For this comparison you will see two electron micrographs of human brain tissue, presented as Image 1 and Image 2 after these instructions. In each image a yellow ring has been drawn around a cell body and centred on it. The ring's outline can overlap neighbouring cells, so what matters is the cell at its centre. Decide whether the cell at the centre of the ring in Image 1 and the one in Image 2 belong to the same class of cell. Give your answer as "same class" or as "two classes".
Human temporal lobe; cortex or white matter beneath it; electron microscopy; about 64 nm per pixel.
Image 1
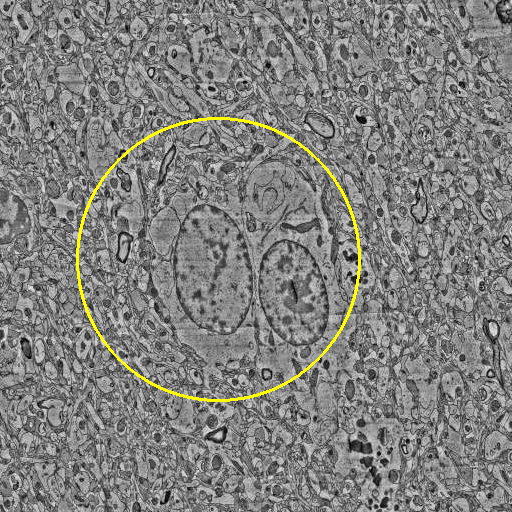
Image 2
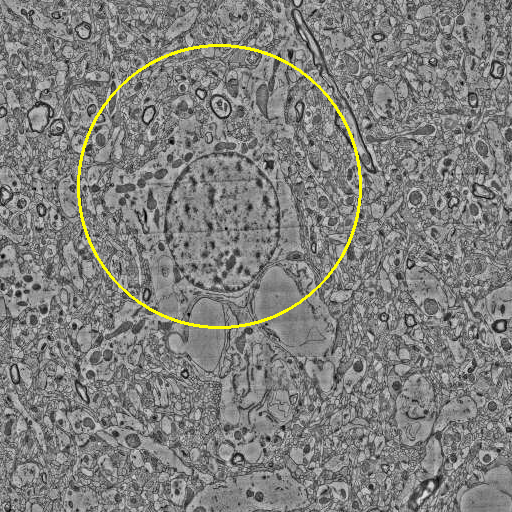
same class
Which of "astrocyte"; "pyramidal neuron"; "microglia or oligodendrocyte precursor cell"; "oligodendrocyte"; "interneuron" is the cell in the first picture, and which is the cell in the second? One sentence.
Both cells are the same kind, each one being an astrocyte.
